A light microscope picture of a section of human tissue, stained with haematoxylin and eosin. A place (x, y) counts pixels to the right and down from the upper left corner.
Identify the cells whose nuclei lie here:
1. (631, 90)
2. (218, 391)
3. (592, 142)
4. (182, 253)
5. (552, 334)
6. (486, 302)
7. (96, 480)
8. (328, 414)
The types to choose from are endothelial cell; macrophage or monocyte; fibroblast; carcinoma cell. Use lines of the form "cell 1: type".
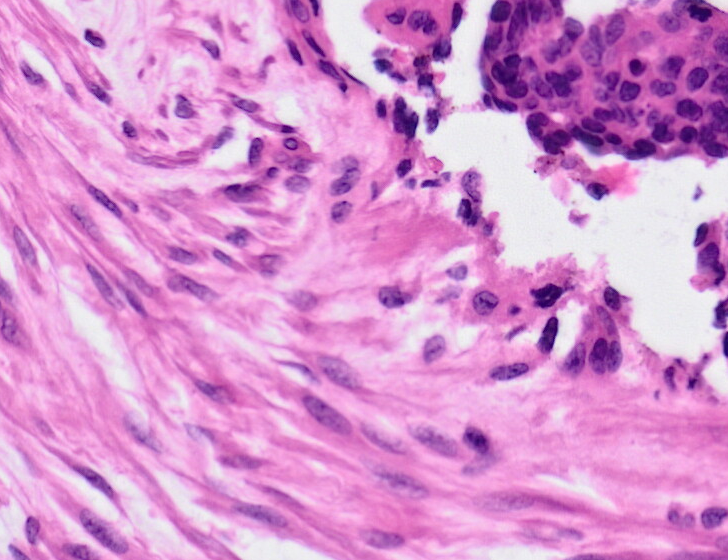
cell 1: carcinoma cell
cell 2: fibroblast
cell 3: carcinoma cell
cell 4: fibroblast
cell 5: carcinoma cell
cell 6: macrophage or monocyte
cell 7: fibroblast
cell 8: fibroblast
